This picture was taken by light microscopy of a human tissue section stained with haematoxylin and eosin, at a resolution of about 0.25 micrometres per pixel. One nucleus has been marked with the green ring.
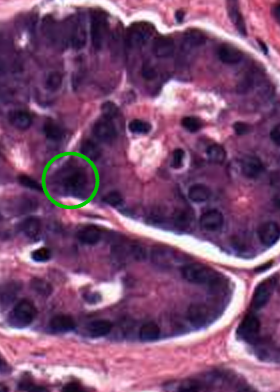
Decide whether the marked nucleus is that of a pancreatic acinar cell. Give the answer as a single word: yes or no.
yes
